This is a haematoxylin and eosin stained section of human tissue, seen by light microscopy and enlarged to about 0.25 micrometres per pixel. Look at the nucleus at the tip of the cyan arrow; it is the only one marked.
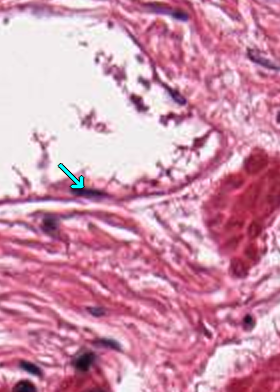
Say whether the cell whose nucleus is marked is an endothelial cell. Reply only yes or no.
yes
